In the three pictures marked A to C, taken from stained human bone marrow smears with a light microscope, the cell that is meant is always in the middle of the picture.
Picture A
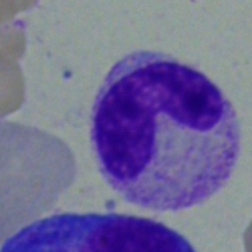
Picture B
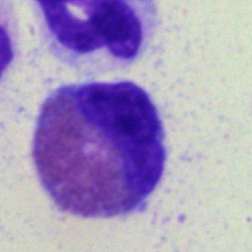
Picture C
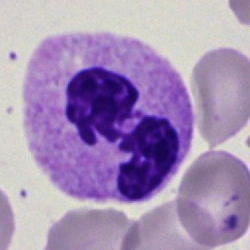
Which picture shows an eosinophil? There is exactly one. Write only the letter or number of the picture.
B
